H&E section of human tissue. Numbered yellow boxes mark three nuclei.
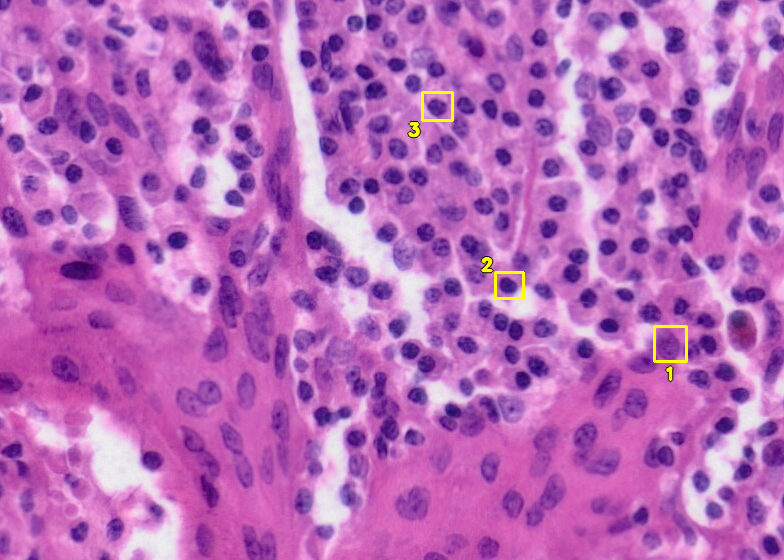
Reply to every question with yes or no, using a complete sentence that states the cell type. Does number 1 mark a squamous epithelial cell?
Yes, on this slide, the cell with number 1 is a squamous epithelial cell.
